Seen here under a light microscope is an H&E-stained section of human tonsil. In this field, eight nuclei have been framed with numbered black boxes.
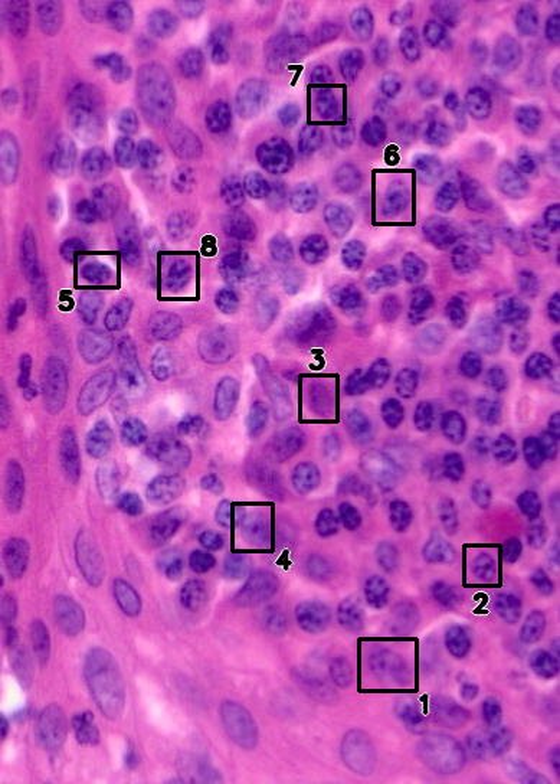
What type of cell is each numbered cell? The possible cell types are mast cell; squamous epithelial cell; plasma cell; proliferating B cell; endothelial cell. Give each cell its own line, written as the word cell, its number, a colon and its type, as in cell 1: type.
cell 1: squamous epithelial cell
cell 2: plasma cell
cell 3: squamous epithelial cell
cell 4: squamous epithelial cell
cell 5: plasma cell
cell 6: plasma cell
cell 7: plasma cell
cell 8: plasma cell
